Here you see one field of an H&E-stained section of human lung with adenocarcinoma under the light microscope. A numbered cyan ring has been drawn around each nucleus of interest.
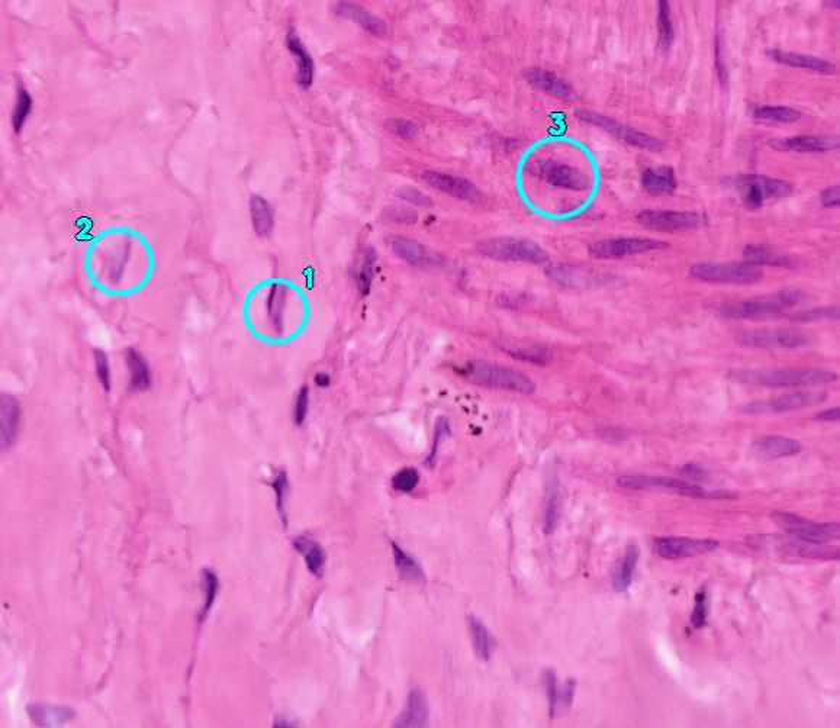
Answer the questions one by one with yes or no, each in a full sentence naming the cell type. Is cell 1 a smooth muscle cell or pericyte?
No, it is a fibroblast, rather than a smooth muscle cell or pericyte, that carries number 1.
